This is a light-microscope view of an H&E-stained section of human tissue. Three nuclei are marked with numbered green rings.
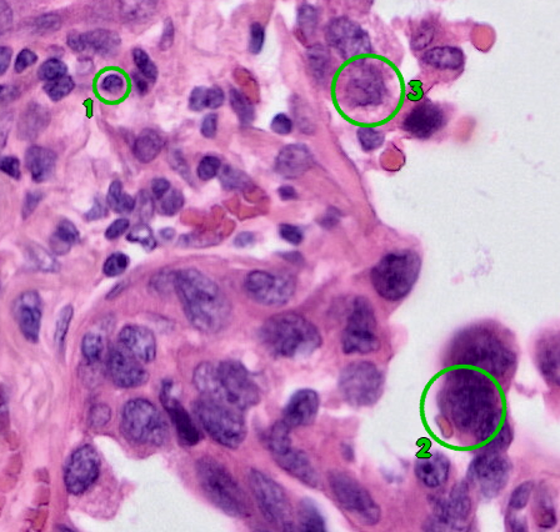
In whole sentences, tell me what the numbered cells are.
Cell 1 is a lymphocyte. Cells 2 and 3 are carcinoma cells.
